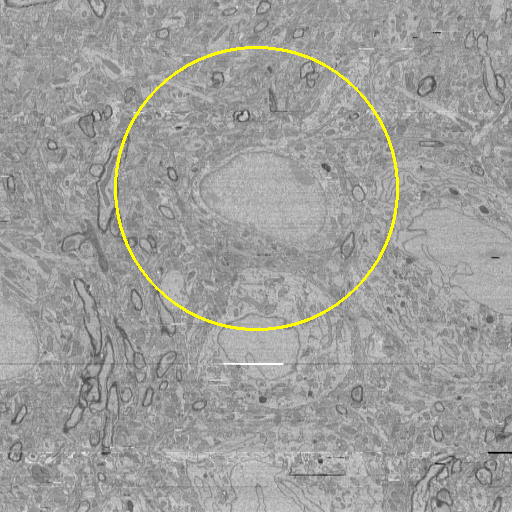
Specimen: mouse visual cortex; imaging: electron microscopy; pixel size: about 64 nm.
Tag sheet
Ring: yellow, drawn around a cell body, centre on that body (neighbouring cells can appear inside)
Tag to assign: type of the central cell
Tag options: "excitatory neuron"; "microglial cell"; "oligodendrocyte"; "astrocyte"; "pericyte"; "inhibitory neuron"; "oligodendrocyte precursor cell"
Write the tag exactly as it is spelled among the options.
astrocyte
